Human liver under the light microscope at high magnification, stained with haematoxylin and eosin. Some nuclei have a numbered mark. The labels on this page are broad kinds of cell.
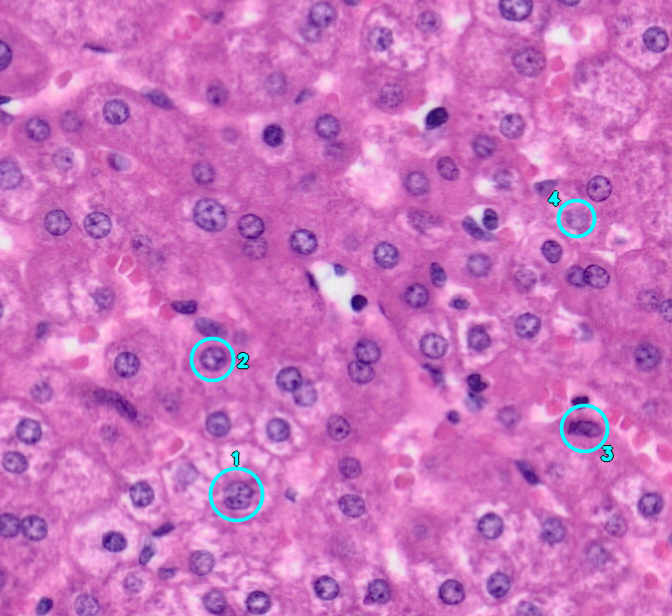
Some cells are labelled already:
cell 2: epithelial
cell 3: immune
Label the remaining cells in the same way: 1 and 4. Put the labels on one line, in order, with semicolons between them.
epithelial; epithelial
